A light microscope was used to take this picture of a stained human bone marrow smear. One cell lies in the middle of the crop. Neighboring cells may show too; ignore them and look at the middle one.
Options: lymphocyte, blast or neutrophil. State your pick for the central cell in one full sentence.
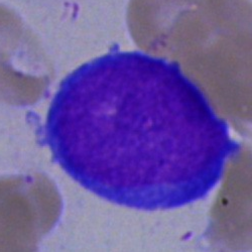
In the center of this field lies a blast.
